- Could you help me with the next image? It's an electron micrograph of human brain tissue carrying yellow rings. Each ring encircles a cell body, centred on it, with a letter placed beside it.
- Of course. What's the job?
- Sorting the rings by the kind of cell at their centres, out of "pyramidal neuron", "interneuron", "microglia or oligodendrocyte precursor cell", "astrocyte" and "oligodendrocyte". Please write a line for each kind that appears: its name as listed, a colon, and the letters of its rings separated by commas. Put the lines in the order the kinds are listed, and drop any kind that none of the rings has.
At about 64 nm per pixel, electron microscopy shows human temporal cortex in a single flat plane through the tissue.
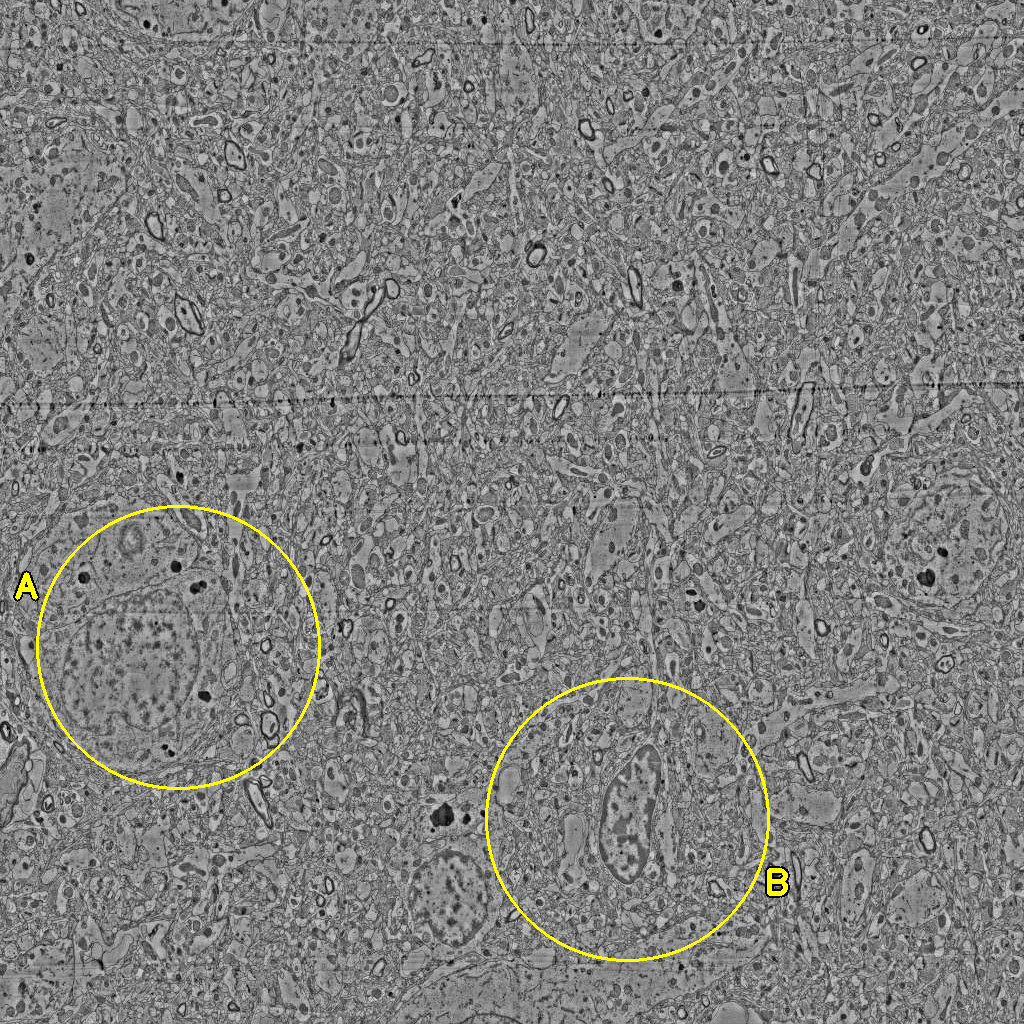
interneuron: A
microglia or oligodendrocyte precursor cell: B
